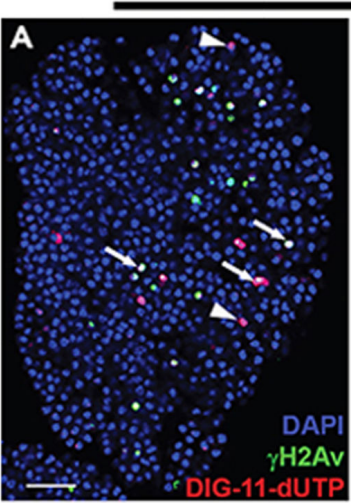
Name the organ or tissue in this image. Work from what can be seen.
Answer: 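Lymph gland. A lobed organ densely packed with small round nuclei. Scattered single cells are labelled red or green among the nuclei.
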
